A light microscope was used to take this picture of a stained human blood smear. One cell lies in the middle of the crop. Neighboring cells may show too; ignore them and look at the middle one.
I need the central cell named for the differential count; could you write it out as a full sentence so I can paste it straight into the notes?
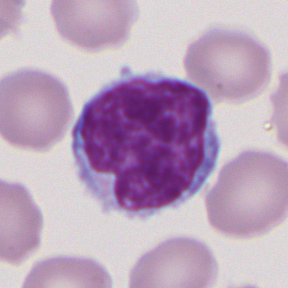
This particular crop is centered on a typical lymphocyte.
